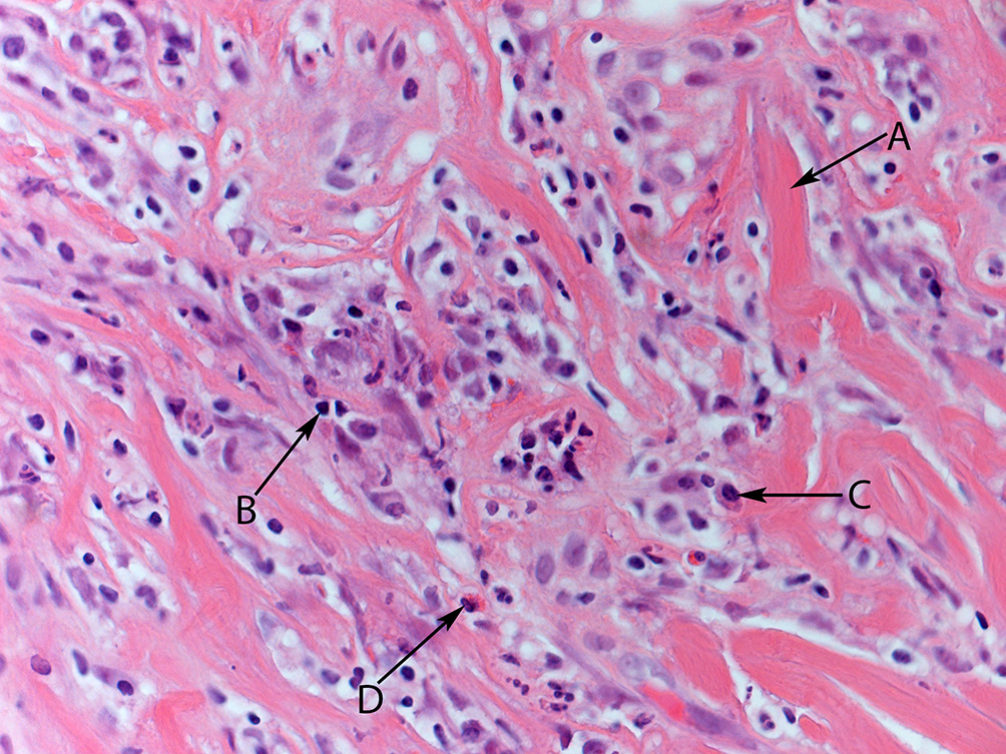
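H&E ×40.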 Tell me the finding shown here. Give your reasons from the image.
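Coarse collagenous fibrous bundles with chronic inflammatory cells. Thick pink fibrous bands run through the field. Many small round cells with dark nuclei are scattered between the bands.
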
